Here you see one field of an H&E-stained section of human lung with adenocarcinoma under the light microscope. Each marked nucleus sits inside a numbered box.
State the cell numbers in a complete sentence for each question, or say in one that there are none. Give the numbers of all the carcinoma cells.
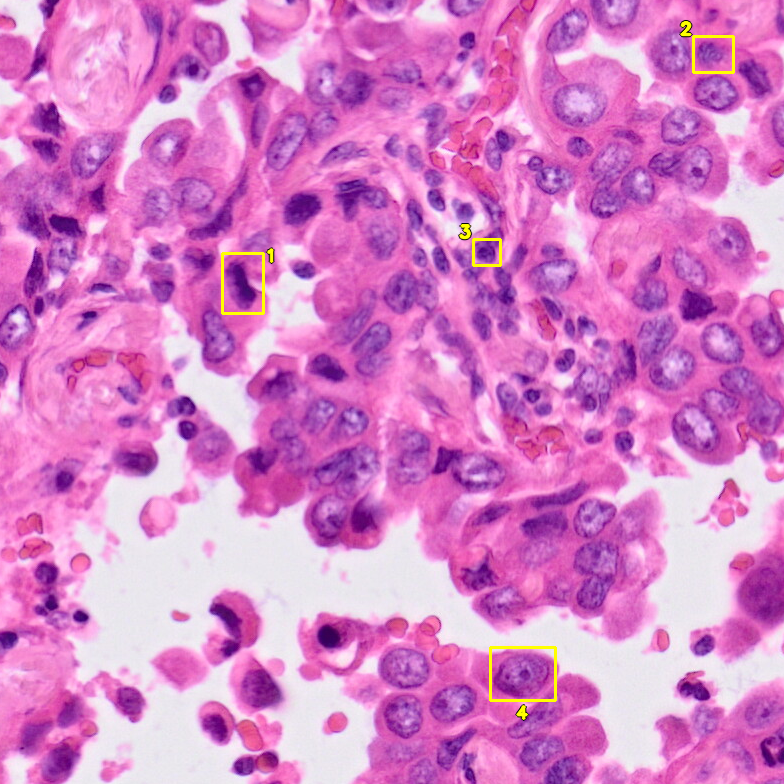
The cells whose numbers are 1, 2 and 4 are carcinoma cells.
